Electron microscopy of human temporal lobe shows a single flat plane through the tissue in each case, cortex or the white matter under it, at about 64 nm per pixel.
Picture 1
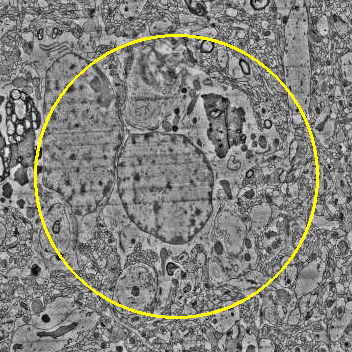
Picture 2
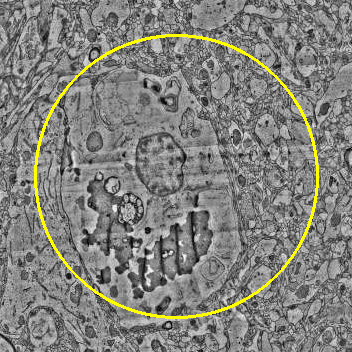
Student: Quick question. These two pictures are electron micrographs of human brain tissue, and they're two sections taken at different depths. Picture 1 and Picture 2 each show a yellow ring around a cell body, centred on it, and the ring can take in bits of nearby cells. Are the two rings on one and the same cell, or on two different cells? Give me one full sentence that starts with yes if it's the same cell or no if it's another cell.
No, the two circled cells are distinct from one another.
